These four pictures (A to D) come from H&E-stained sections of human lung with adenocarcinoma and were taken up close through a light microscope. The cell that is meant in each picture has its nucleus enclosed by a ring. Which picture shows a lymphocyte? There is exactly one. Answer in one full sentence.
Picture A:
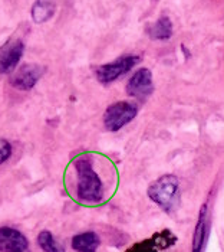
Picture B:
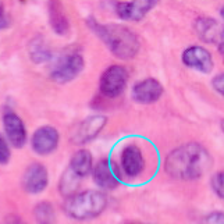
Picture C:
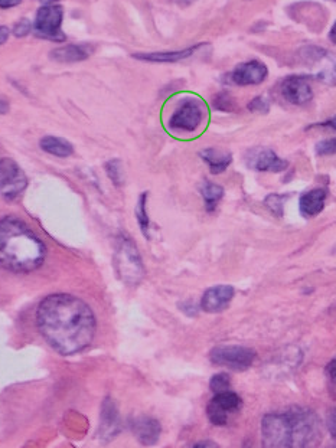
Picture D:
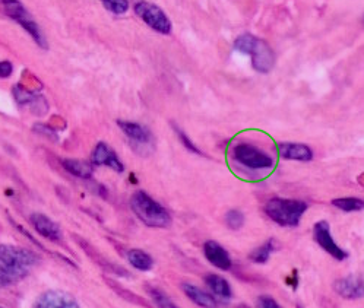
Picture B is the one that shows the lymphocyte.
